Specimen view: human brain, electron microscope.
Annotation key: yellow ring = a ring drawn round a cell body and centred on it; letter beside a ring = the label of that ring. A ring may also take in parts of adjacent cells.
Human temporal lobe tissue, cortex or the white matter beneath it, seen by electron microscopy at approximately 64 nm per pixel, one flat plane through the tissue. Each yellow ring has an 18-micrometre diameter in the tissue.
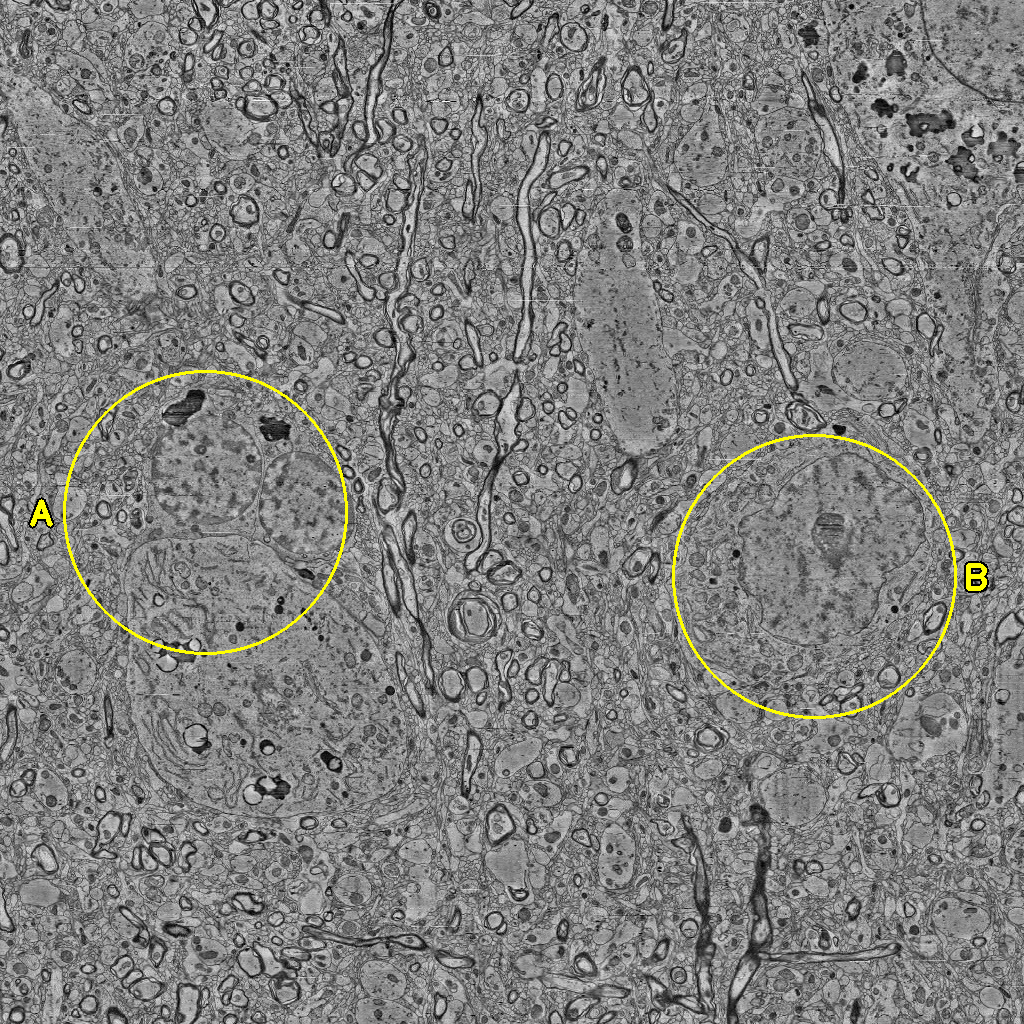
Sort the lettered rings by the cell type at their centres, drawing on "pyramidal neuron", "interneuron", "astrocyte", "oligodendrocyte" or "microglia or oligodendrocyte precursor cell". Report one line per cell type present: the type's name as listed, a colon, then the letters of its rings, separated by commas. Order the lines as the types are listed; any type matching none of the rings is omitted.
interneuron: B
oligodendrocyte: A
